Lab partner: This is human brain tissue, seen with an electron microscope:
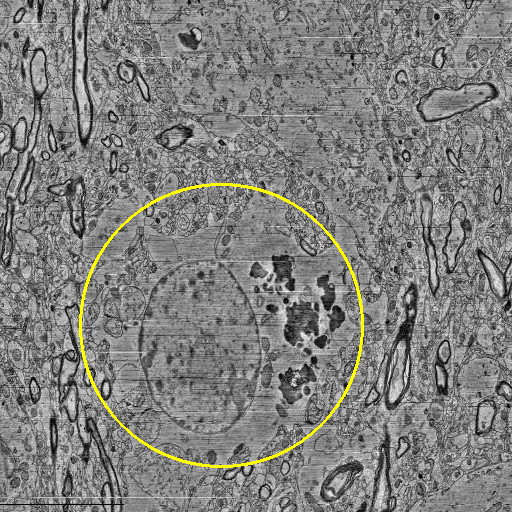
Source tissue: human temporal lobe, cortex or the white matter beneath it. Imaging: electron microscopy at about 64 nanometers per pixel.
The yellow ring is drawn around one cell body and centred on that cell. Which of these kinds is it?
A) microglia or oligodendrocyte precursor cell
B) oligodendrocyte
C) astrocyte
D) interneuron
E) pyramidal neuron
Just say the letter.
C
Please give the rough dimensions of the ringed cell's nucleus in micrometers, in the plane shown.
Roughly 12 by 8 micrometres is the size of the nucleus in this plane.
